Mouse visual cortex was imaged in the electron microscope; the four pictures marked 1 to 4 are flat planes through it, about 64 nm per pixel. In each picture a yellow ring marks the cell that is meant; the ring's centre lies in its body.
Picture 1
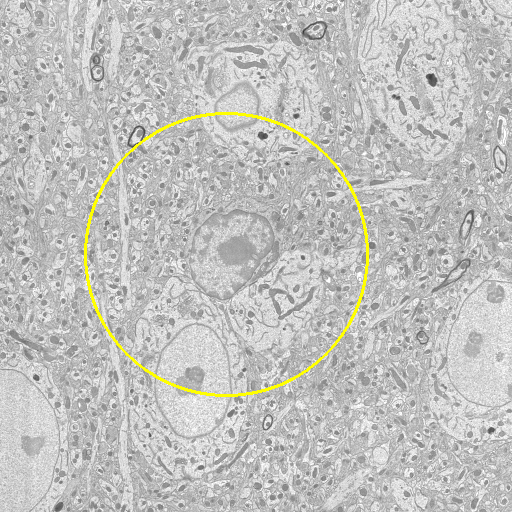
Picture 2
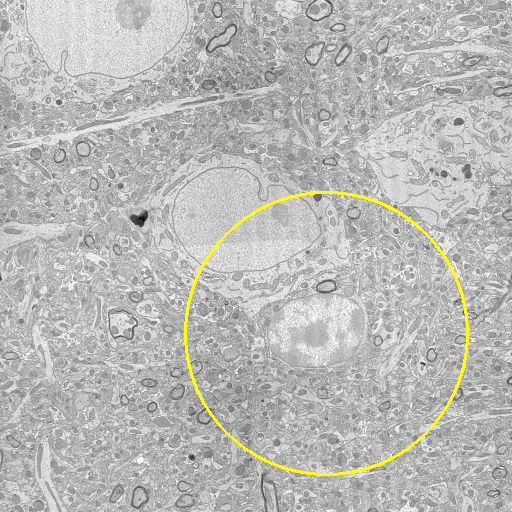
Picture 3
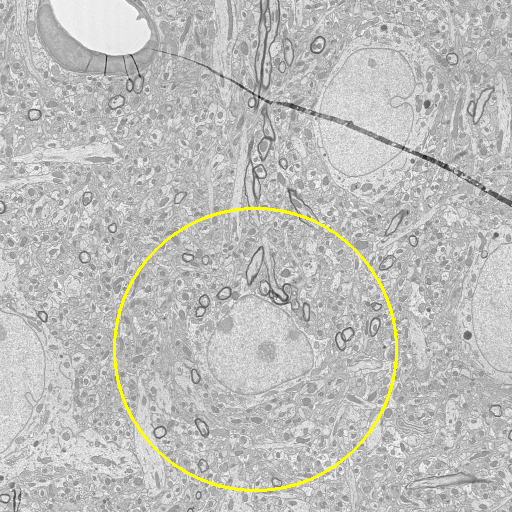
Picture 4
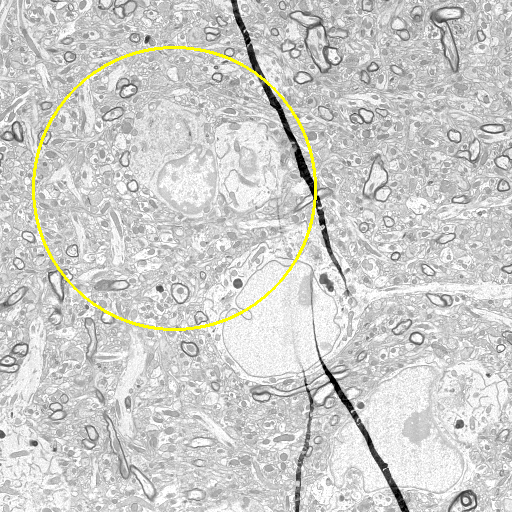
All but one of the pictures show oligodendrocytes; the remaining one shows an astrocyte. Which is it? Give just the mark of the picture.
3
